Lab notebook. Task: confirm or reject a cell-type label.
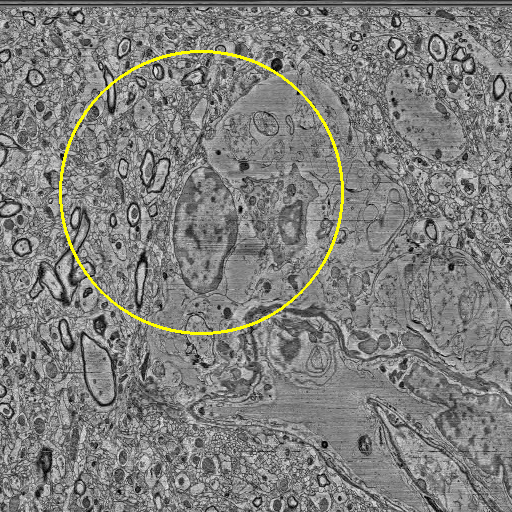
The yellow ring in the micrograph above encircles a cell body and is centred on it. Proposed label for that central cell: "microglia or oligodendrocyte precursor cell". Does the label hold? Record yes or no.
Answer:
yes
